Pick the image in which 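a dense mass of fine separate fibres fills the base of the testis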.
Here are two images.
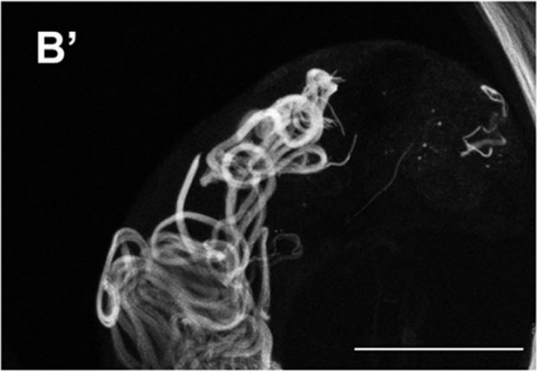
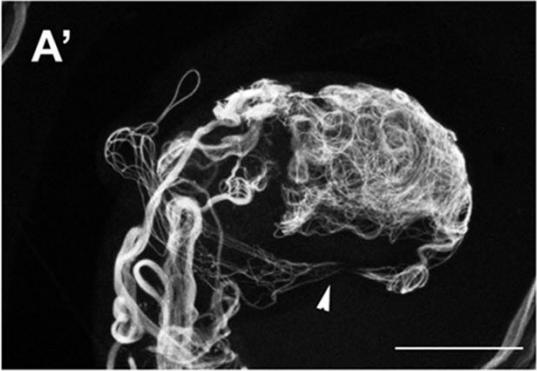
The second image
